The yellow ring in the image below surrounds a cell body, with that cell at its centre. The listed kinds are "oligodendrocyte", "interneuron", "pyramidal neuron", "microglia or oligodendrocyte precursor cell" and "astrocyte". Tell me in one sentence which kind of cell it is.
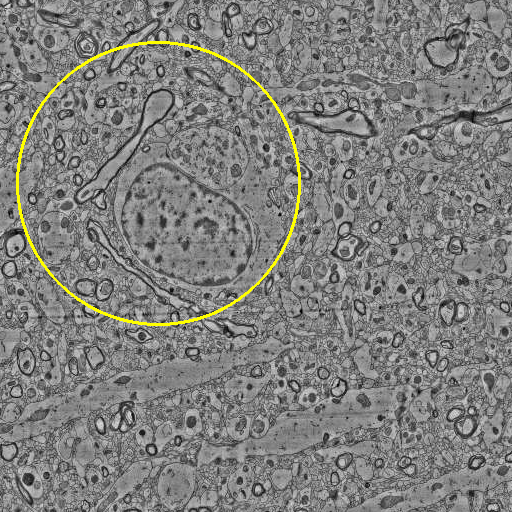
The centre of the ring holds a microglial cell or oligodendrocyte precursor cell.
